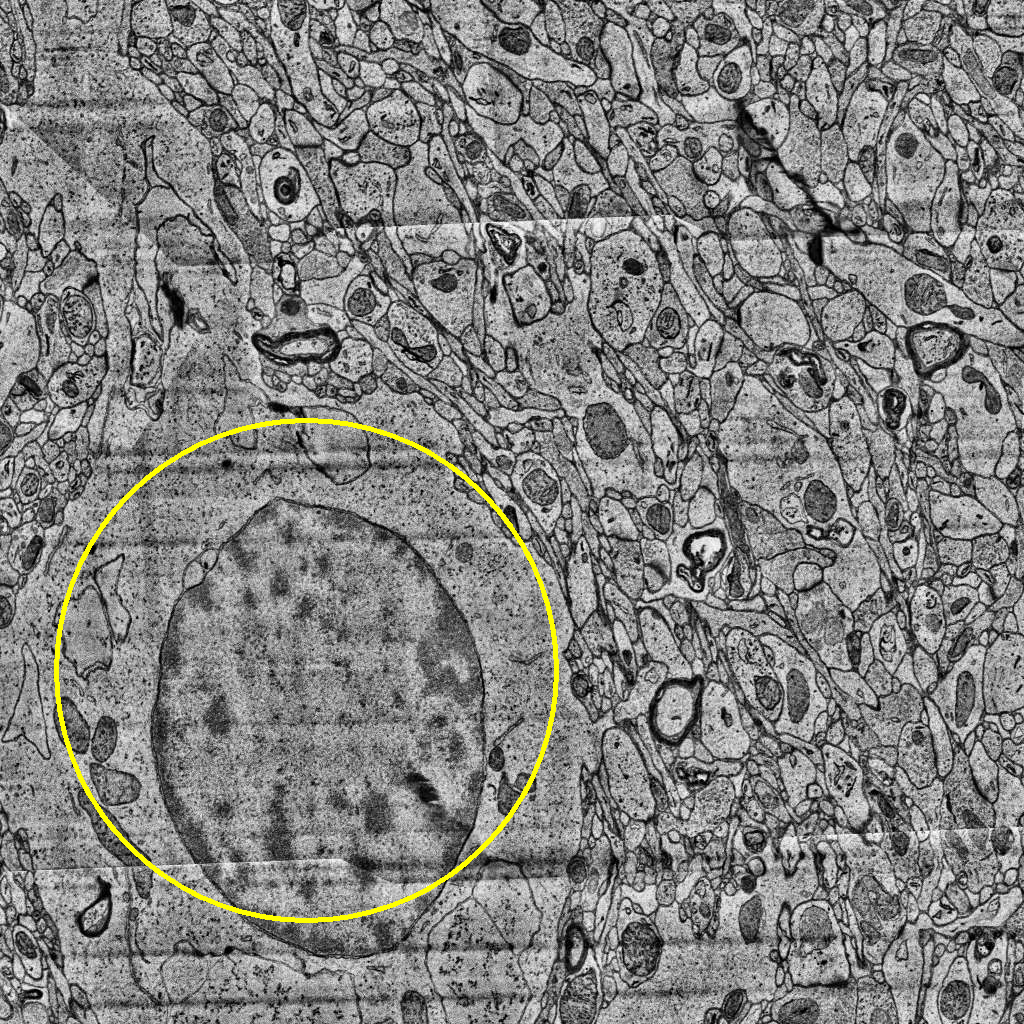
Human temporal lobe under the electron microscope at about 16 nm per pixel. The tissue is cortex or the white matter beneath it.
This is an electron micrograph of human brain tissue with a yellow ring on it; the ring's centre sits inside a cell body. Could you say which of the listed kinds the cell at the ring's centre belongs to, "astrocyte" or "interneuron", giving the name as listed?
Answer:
astrocyte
